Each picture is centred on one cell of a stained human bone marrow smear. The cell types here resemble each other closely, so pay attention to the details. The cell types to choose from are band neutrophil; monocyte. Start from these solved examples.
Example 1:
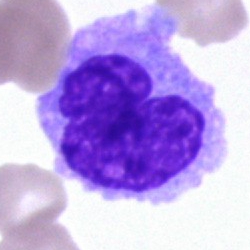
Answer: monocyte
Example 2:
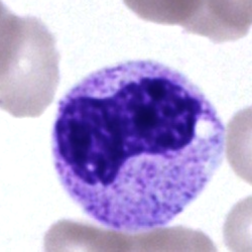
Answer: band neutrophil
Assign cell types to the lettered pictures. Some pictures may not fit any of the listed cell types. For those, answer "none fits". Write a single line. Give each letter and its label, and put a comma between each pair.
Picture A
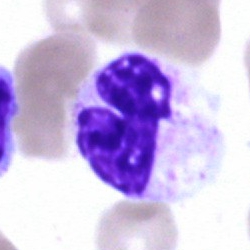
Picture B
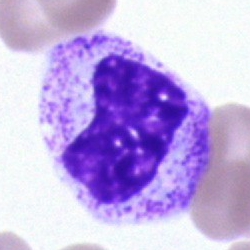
A none fits, B band neutrophil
